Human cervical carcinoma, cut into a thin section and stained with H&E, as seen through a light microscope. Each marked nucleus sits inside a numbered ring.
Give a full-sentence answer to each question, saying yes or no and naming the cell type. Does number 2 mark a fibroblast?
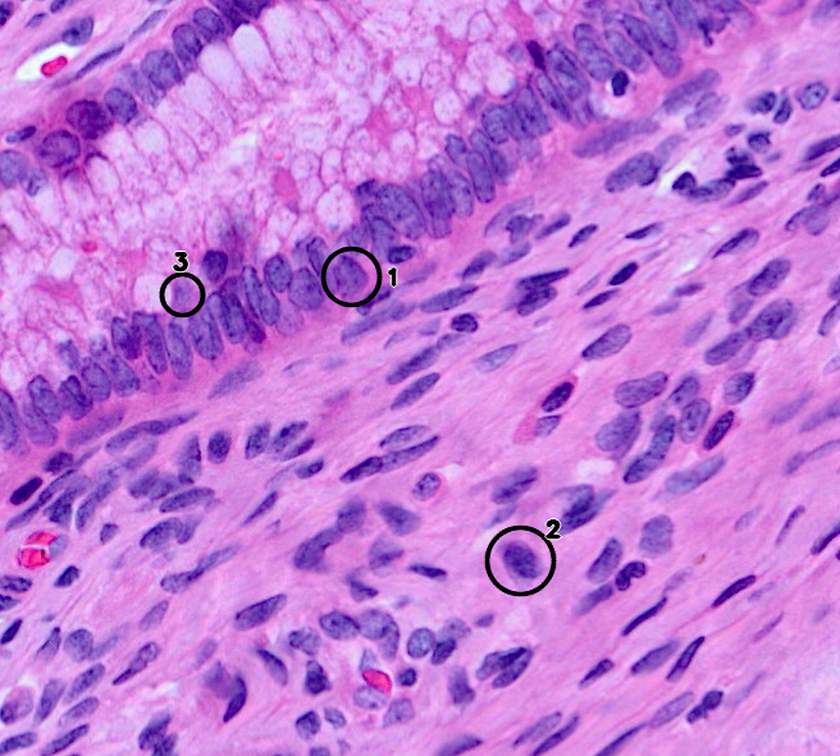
Yes, the cell that bears the number 2 is a fibroblast.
